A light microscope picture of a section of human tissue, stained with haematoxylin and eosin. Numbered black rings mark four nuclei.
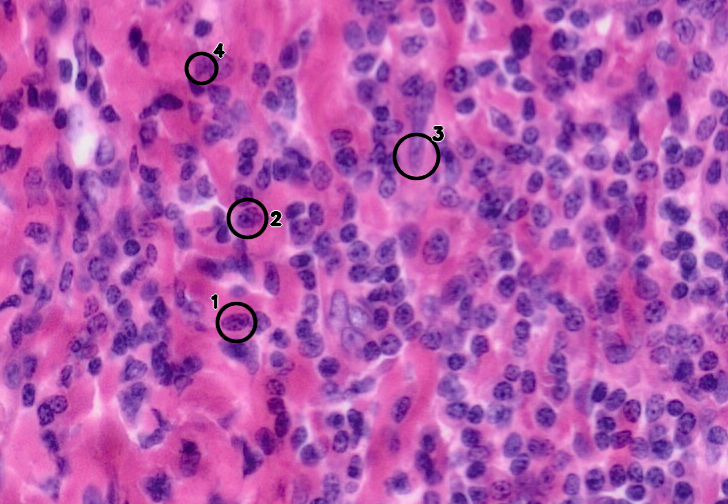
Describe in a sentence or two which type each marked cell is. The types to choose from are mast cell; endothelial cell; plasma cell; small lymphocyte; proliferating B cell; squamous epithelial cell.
Cell 1 is a mast cell, cell 2 is a plasma cell, cell 3 is an endothelial cell and cell 4 is an endothelial cell.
